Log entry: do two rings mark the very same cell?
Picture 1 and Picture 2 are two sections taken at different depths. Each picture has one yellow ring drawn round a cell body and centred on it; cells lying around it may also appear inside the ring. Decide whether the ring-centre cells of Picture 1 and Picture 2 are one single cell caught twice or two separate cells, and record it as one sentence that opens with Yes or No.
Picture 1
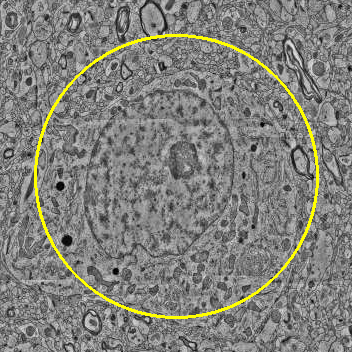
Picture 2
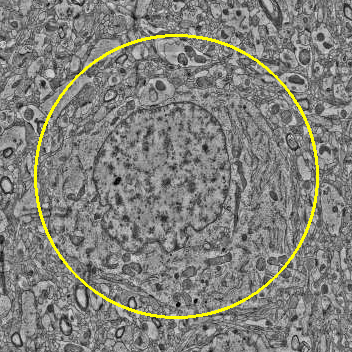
Yes, both rings are placed on a single cell.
